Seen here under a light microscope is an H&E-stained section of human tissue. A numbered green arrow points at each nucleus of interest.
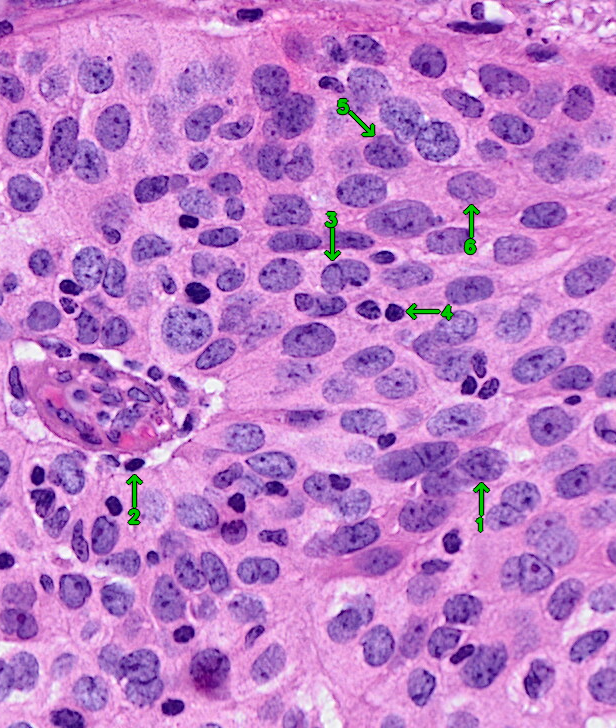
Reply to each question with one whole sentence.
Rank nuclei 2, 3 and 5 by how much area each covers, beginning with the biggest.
The nuclei rank 5, 3, 2, from largest to smallest.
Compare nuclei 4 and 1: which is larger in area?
At about 4 times the area of nucleus 4, nucleus 1 is the larger of the two.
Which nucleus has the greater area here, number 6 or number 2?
Number 6 is larger; its area is about 4 times that of number 2.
